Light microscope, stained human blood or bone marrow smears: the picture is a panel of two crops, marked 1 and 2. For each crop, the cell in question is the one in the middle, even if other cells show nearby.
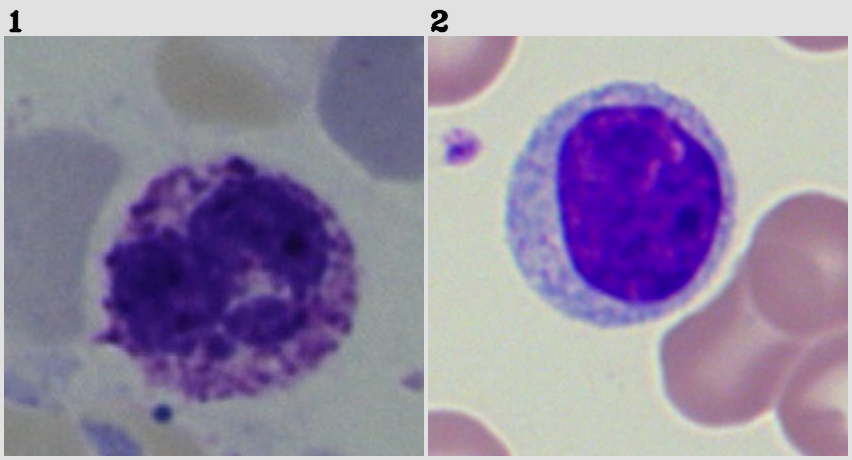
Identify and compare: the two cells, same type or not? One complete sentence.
No, the cell centred in crop 2 is a lymphocyte; crop 1 centres on a basophil.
